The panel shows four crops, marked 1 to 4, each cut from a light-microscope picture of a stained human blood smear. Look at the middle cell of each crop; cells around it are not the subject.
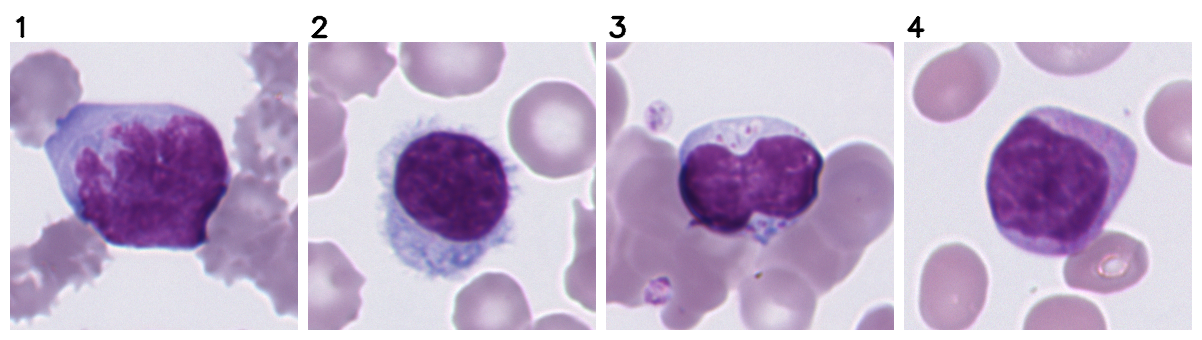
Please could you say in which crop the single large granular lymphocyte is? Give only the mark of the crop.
3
